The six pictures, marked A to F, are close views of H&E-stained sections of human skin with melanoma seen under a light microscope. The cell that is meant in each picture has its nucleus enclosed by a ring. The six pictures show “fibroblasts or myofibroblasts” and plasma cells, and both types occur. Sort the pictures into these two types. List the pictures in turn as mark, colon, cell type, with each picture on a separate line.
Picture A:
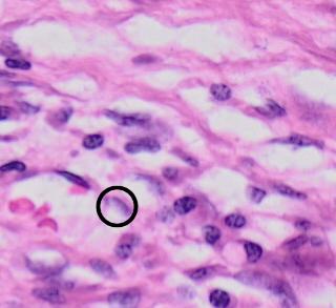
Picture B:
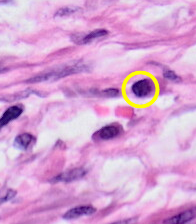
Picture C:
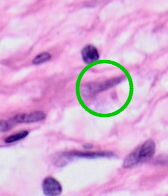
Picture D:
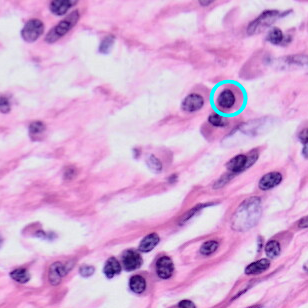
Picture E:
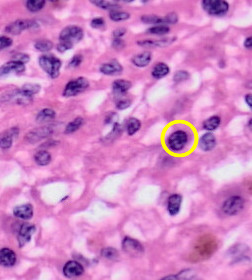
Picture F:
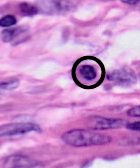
A: fibroblast or myofibroblast
B: plasma cell
C: fibroblast or myofibroblast
D: plasma cell
E: plasma cell
F: plasma cell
